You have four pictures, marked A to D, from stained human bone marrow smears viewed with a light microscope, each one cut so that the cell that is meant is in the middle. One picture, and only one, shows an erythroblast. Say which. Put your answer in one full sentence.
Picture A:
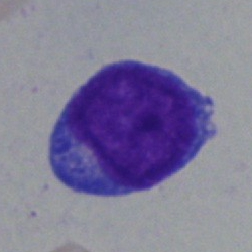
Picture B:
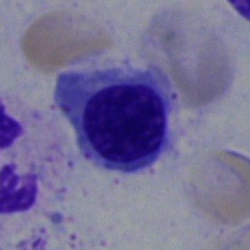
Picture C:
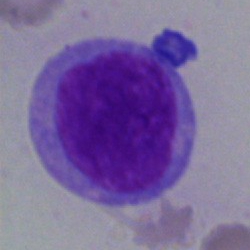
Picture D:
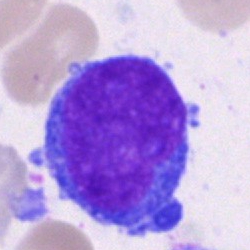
The cell in picture B is the erythroblast.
